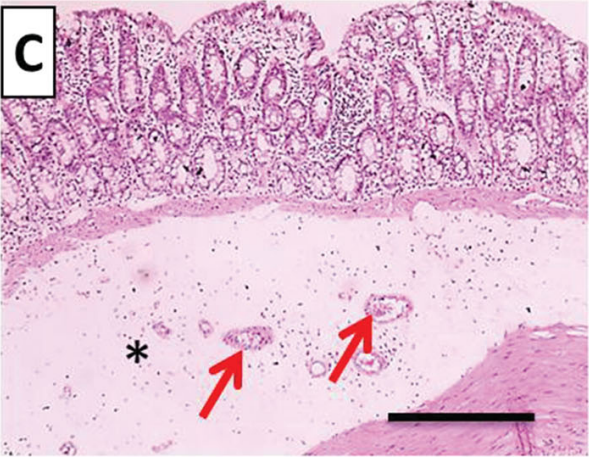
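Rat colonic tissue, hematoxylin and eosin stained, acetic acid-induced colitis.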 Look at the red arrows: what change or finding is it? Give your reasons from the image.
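Congestion. The arrows point to small vessels in the widened submucosa.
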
